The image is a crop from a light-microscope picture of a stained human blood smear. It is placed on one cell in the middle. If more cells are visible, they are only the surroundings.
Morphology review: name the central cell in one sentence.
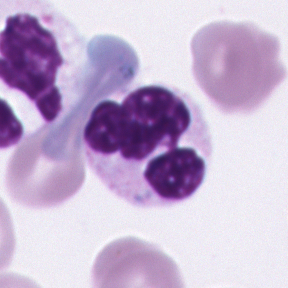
On this slide crop, the central cell is a neutrophil.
